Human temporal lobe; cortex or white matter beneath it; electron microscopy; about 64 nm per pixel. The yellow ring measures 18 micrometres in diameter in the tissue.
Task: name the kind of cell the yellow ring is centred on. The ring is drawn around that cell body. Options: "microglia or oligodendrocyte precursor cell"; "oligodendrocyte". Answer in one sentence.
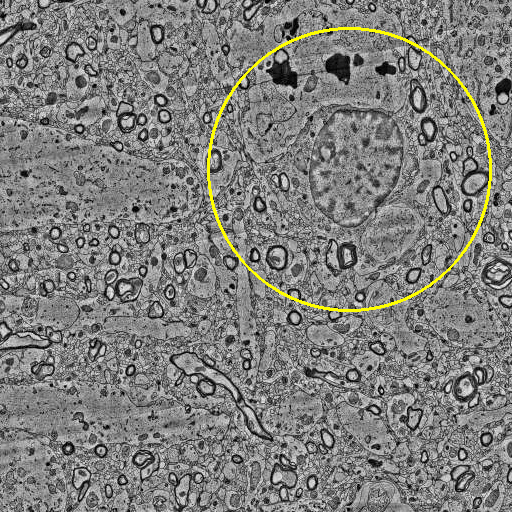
This cell body belongs to an oligodendrocyte.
